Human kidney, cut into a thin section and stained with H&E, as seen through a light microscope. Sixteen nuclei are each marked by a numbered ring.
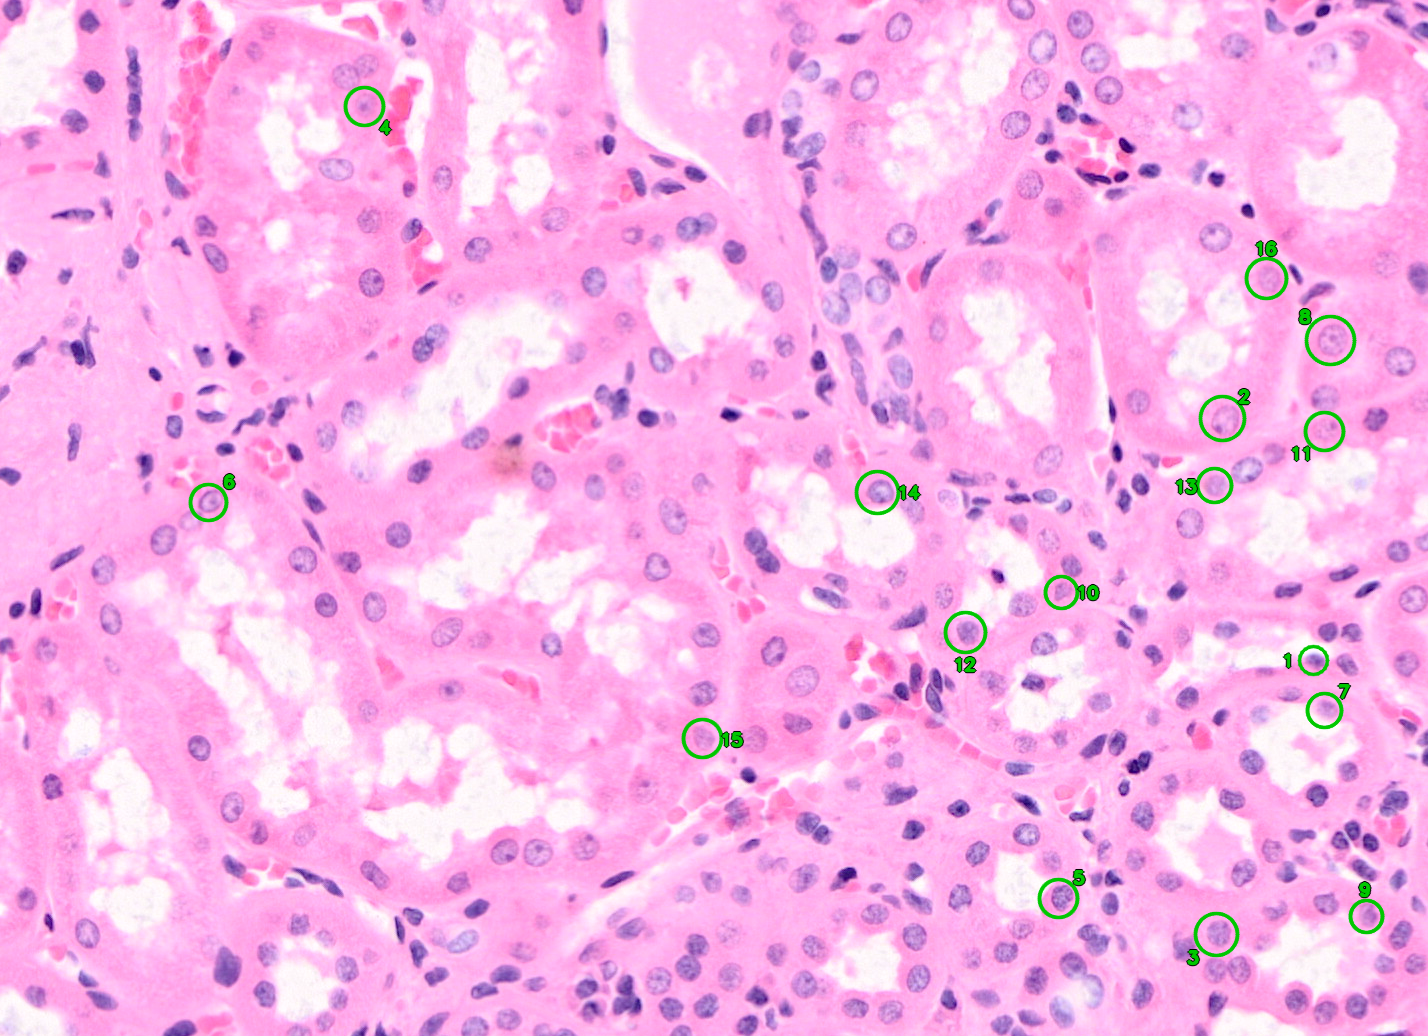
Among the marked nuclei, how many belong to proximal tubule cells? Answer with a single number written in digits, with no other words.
8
